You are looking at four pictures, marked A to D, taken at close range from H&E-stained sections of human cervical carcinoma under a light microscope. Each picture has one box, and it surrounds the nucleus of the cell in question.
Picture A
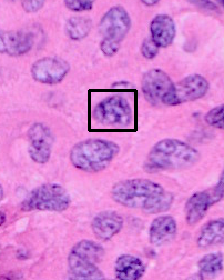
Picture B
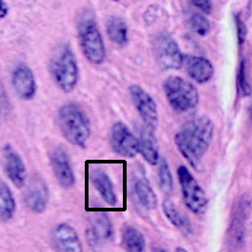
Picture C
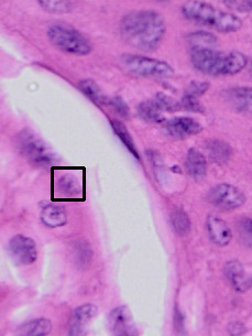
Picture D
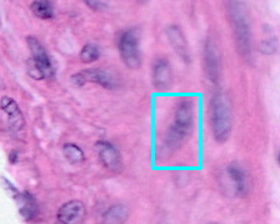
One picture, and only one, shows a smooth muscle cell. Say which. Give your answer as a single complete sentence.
It is picture D that shows the smooth muscle cell.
